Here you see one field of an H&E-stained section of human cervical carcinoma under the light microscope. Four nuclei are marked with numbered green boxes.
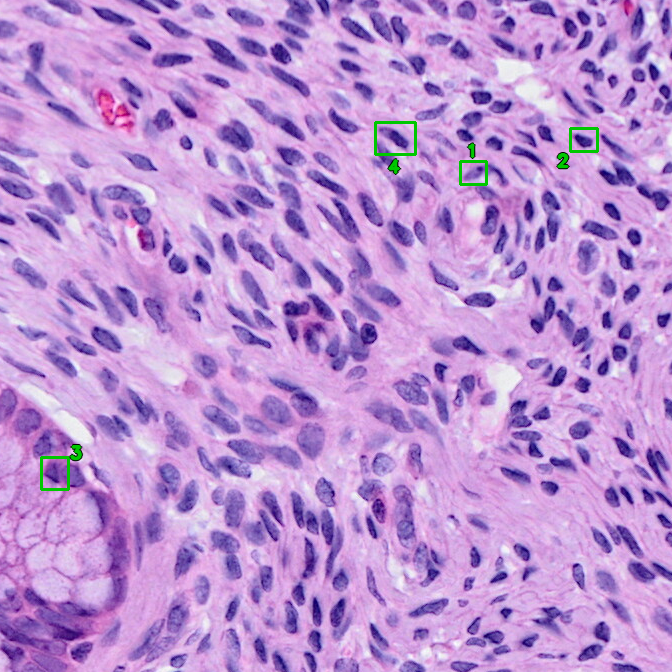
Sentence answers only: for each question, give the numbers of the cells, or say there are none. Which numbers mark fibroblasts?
The cells referred to by the numbers 1, 2 and 4 are fibroblasts.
